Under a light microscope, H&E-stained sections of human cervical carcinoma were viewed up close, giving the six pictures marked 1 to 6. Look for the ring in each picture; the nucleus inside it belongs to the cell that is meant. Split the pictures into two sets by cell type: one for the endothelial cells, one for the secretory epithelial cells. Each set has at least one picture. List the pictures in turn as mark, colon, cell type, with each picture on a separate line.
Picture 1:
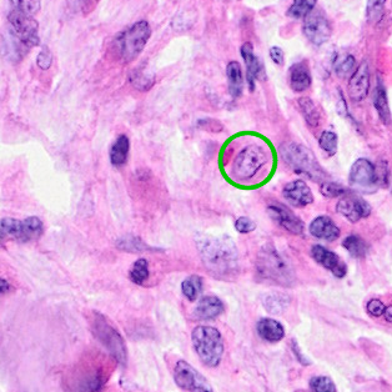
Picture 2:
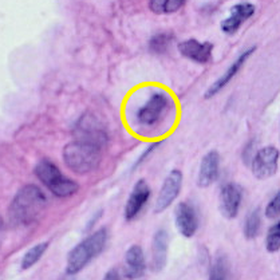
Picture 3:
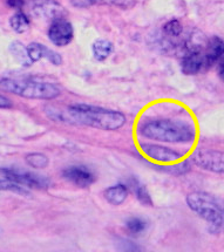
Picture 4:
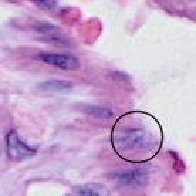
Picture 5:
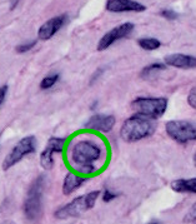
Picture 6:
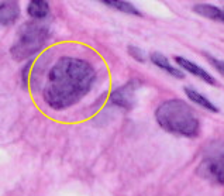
1: endothelial cell
2: secretory epithelial cell
3: endothelial cell
4: endothelial cell
5: endothelial cell
6: secretory epithelial cell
